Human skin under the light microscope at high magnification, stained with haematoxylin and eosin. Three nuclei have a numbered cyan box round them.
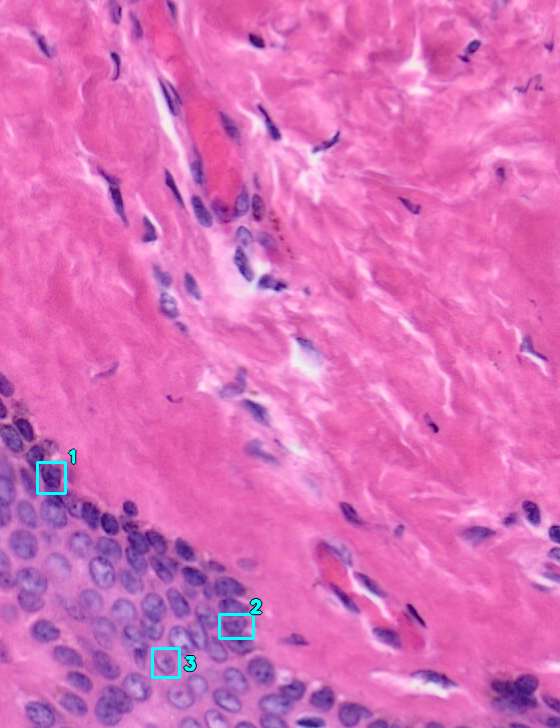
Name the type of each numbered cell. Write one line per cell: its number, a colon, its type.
1: basal keratinocyte
2: basal keratinocyte
3: suprabasal keratinocyte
